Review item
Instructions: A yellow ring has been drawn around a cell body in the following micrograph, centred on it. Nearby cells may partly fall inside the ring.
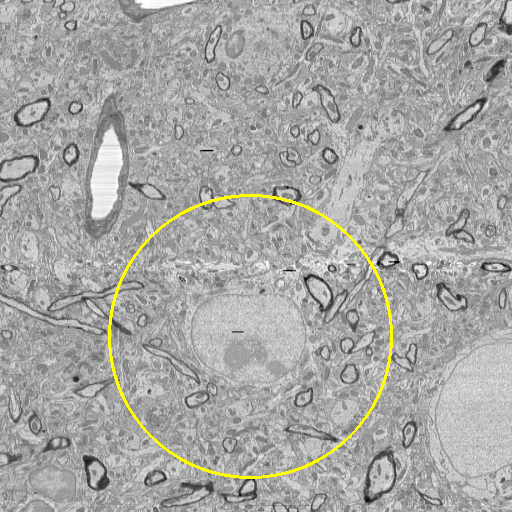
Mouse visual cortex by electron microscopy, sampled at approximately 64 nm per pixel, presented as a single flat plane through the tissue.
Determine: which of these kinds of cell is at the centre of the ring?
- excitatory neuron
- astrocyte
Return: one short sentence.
The cell body in the middle of the ring is that of an astrocyte.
